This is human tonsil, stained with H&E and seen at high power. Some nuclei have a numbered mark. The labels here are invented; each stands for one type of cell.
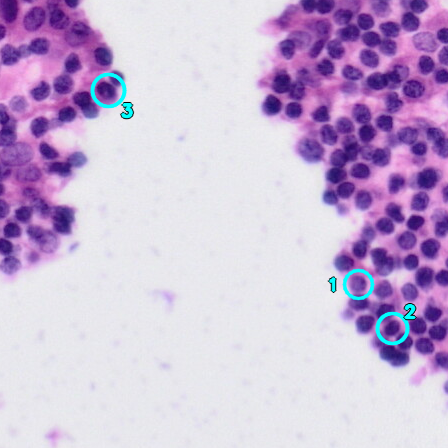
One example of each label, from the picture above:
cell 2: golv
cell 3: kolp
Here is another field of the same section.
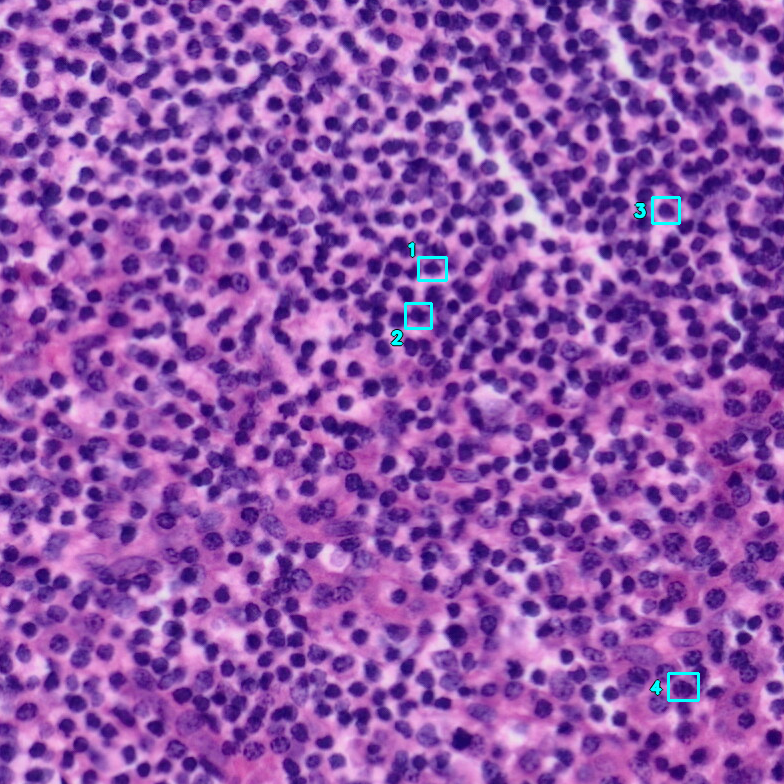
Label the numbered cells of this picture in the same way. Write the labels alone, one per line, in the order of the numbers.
golv
golv
golv
kolp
